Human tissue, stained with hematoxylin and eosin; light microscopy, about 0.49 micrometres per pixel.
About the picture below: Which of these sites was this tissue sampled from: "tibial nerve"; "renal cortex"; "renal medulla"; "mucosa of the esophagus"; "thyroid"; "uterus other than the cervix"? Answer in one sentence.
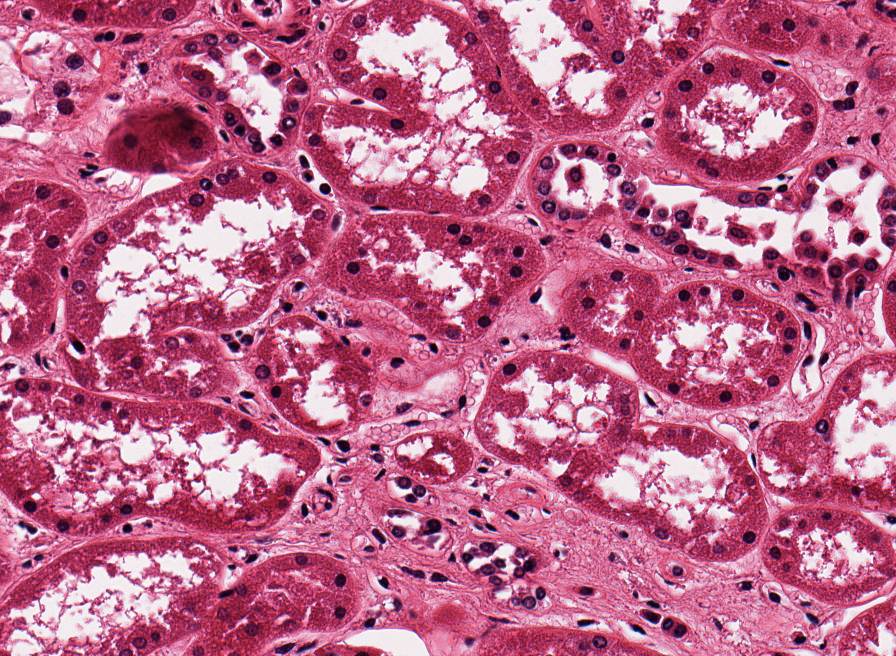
The site this tissue was sampled from is the renal cortex.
